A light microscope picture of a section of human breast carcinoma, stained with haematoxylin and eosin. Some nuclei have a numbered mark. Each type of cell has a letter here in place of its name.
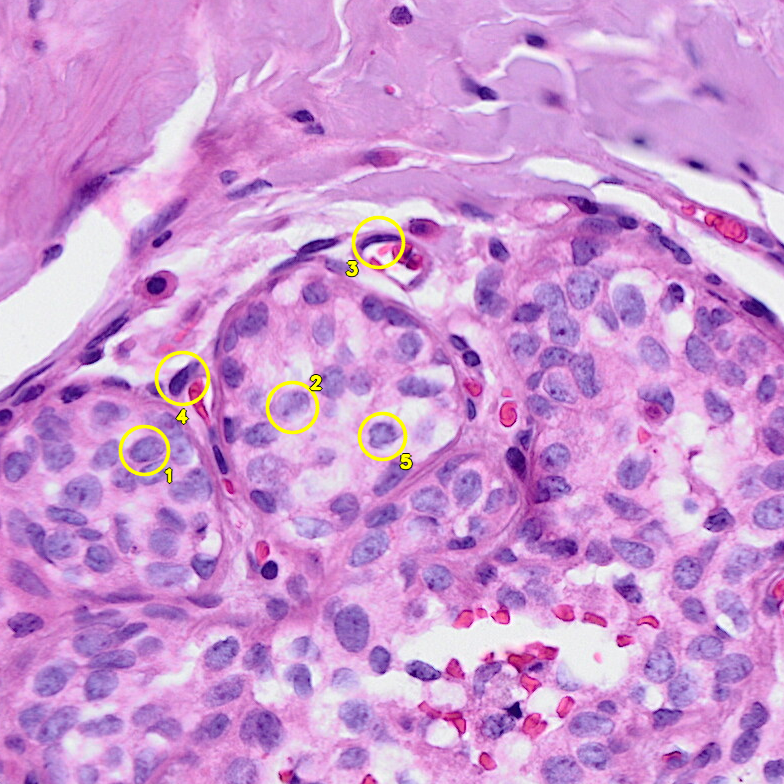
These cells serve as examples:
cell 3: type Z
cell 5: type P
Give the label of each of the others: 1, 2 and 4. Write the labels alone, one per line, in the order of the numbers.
type P
type P
type Z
